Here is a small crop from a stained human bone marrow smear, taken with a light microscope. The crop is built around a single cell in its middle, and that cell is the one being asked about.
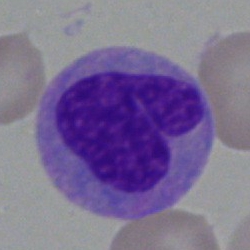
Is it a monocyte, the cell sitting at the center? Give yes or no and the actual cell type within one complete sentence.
Yes, the cell in the middle is recognised as a monocyte.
